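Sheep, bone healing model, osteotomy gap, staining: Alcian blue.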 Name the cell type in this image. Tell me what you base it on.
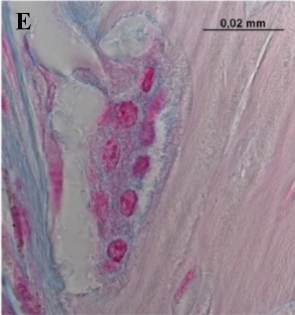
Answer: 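A large cell with several pink nuclei. It lies against the surface of pale pink bone matrix. So: Osteoclasts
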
